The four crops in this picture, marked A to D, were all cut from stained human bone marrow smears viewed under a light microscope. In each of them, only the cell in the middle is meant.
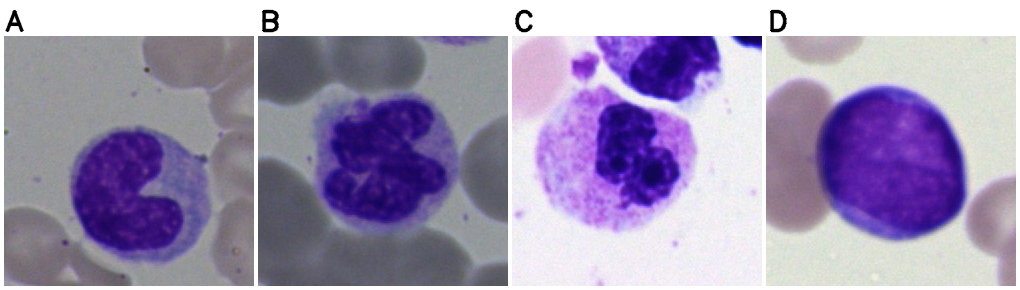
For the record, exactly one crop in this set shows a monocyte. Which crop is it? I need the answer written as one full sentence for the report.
Of the crops given, a monocyte is found in crop B.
